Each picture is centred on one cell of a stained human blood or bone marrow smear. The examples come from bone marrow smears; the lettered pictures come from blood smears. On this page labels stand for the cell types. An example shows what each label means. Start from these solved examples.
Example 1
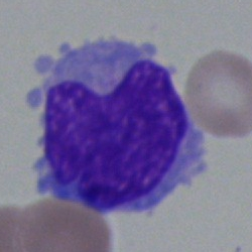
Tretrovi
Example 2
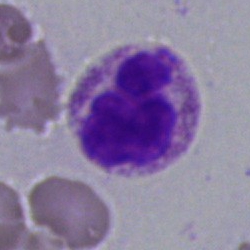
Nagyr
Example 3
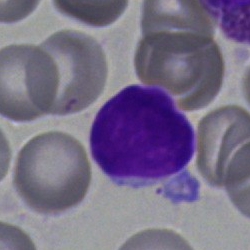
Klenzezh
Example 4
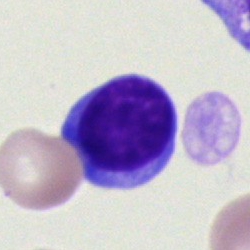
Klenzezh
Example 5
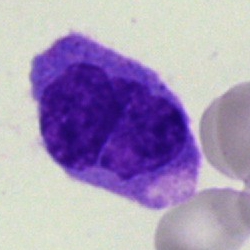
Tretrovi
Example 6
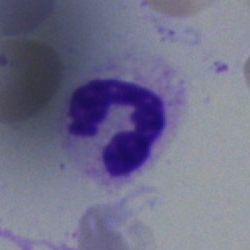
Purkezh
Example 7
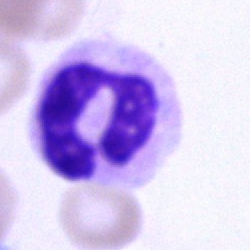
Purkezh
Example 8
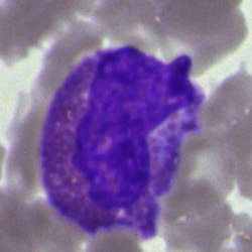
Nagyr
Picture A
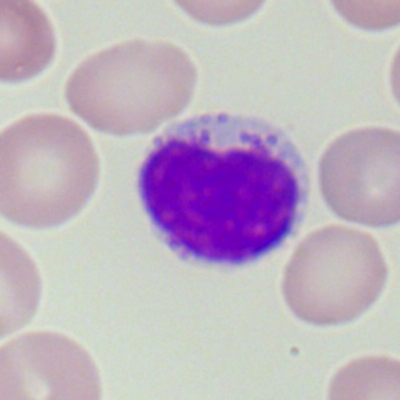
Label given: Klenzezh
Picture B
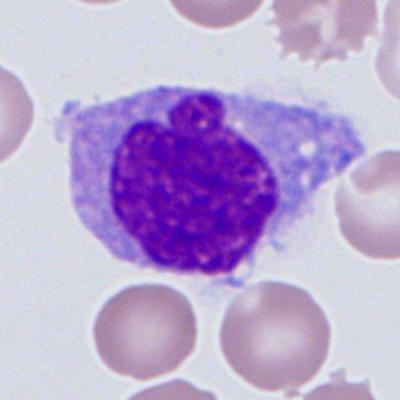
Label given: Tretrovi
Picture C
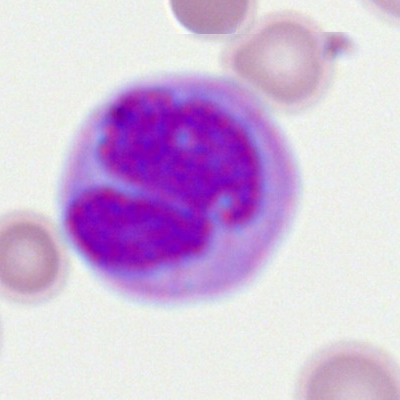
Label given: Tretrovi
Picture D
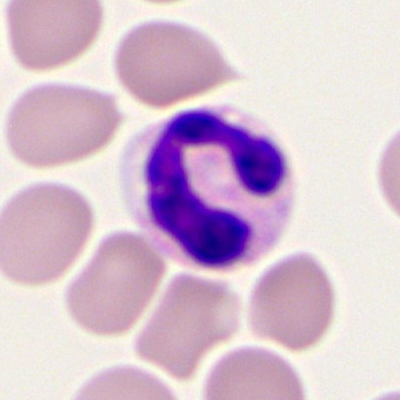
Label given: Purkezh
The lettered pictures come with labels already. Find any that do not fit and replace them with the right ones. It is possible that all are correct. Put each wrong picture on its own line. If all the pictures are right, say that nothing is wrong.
Every label is right.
